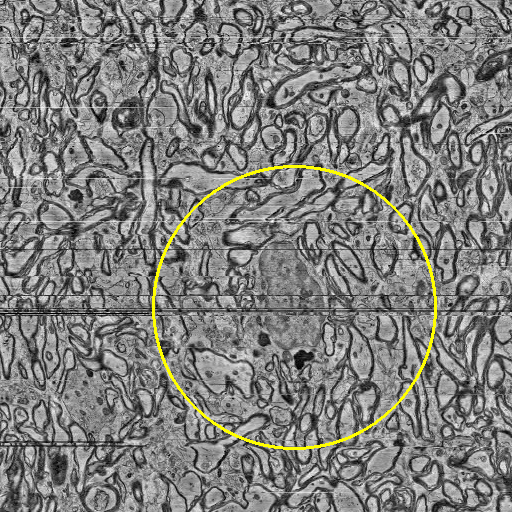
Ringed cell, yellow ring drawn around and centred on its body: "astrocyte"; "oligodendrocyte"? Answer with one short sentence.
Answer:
This ringed cell is an oligodendrocyte.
